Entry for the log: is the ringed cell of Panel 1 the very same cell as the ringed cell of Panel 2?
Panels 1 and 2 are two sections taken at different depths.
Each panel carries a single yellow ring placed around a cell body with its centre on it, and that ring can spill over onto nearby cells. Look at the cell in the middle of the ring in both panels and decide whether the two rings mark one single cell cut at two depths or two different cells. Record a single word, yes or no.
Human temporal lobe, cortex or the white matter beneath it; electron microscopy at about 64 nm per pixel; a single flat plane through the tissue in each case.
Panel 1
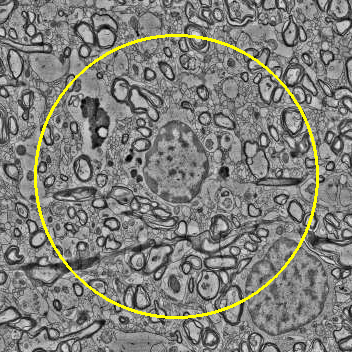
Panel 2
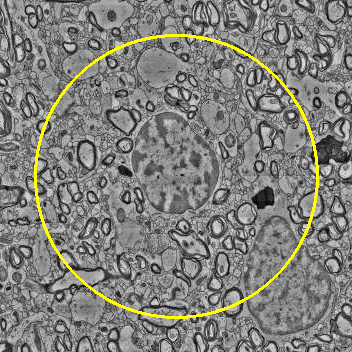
yes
